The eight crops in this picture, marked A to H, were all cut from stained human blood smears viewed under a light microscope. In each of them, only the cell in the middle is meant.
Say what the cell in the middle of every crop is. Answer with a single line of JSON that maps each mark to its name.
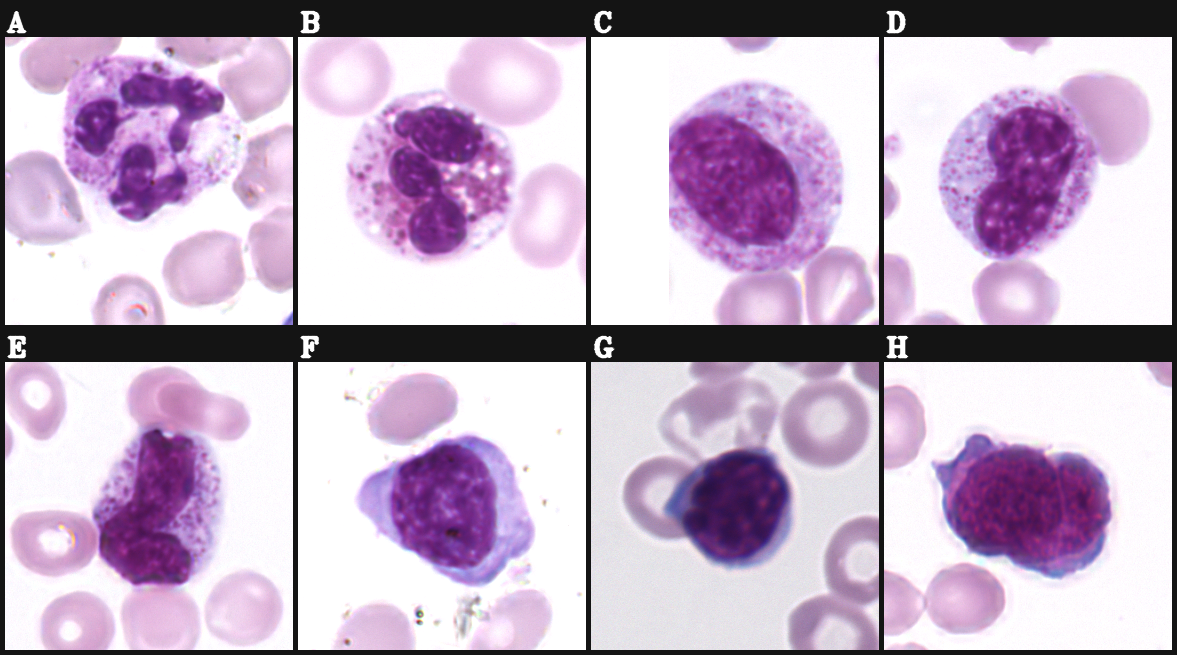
{"A": "segmented neutrophil", "B": "eosinophil", "C": "myelocyte", "D": "band neutrophil", "E": "band neutrophil", "F": "plasma cell", "G": "typical lymphocyte", "H": "atypical promyelocyte"}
